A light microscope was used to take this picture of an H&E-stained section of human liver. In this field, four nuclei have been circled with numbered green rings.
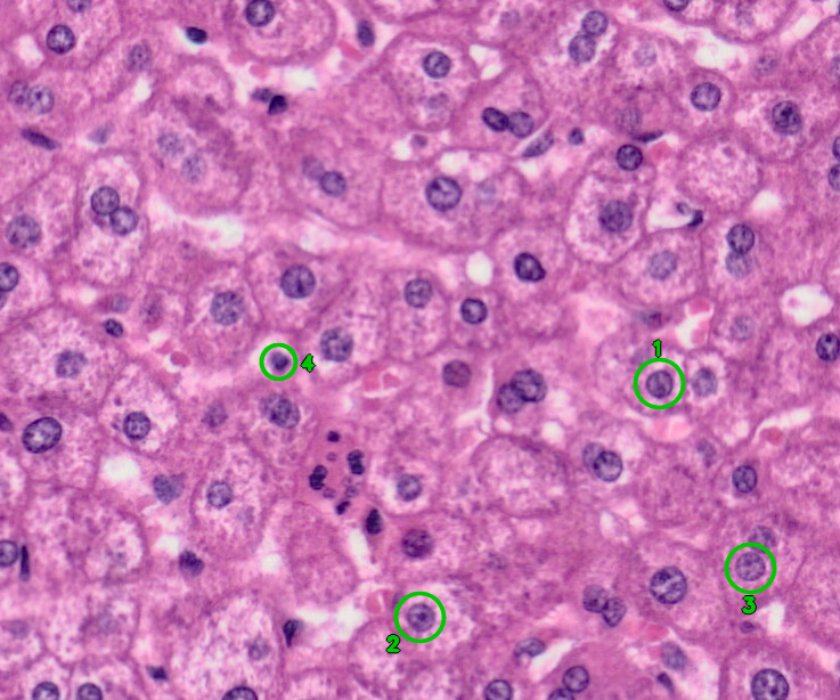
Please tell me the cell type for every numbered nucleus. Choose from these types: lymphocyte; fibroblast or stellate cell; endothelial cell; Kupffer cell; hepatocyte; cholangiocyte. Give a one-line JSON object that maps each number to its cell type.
{"1": "hepatocyte", "2": "hepatocyte", "3": "hepatocyte", "4": "lymphocyte"}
